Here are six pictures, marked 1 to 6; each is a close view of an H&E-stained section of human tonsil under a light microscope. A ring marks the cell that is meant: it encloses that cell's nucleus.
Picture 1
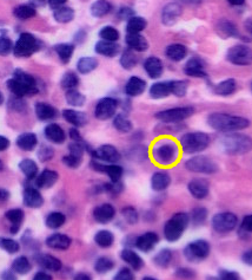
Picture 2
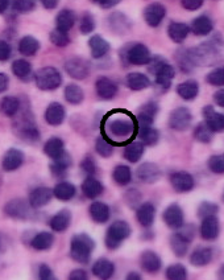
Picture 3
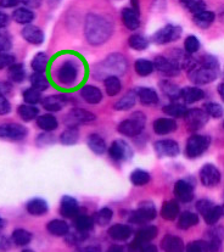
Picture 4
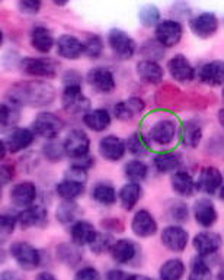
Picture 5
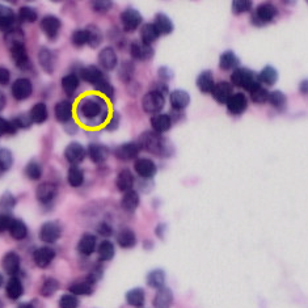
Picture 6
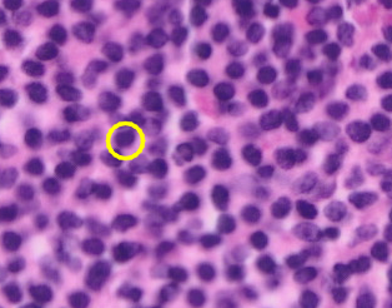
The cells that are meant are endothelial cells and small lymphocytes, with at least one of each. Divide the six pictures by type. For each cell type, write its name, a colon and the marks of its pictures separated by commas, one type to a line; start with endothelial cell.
endothelial cell: 1, 3
small lymphocyte: 2, 4, 5, 6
